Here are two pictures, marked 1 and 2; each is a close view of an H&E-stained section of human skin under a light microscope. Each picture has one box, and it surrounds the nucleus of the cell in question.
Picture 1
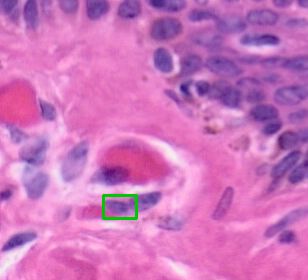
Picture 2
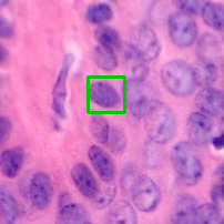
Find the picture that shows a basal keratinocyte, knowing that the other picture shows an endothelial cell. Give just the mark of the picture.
2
